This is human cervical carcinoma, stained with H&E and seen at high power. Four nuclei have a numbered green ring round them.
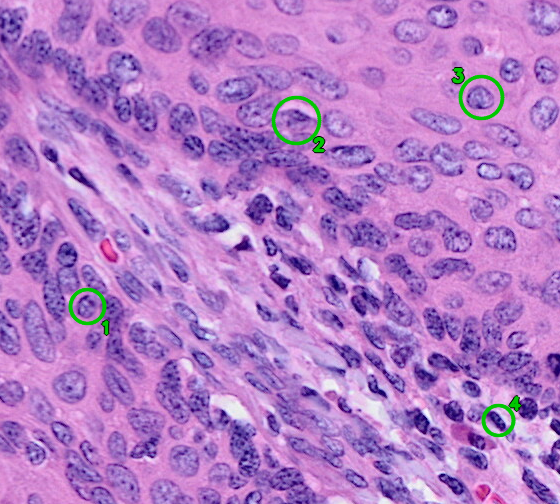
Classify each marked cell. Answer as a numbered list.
1. squamous carcinoma cell
2. squamous carcinoma cell
3. squamous carcinoma cell
4. lymphocyte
